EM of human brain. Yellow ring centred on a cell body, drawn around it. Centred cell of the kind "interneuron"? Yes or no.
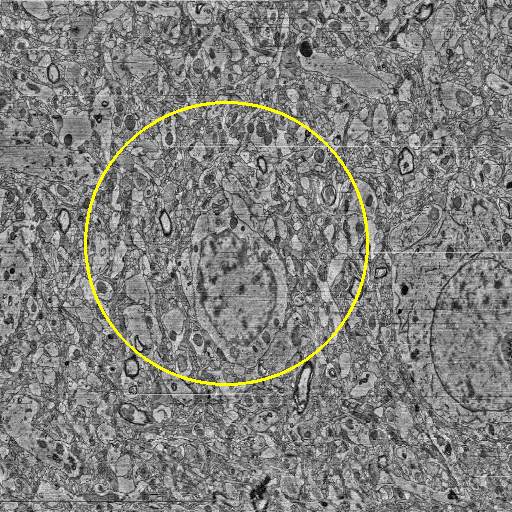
yes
